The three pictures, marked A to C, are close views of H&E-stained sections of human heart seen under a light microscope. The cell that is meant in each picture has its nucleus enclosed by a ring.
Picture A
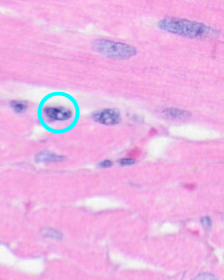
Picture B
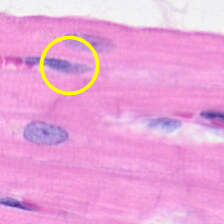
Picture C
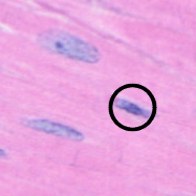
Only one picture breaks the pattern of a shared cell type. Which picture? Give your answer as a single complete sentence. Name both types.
Unlike the rest, which show endothelial cells, picture A shows a fibroblast.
